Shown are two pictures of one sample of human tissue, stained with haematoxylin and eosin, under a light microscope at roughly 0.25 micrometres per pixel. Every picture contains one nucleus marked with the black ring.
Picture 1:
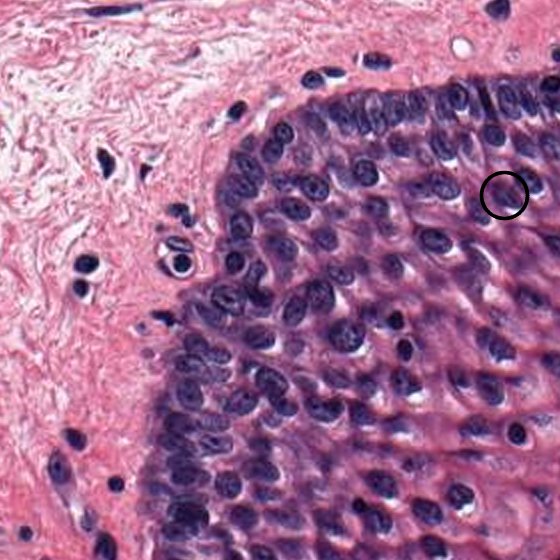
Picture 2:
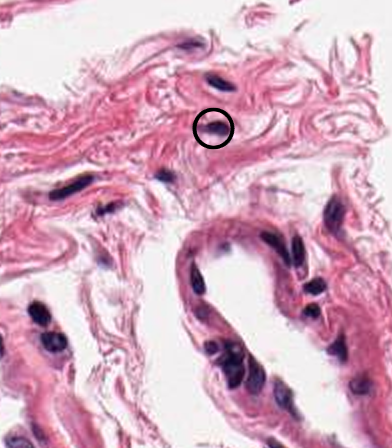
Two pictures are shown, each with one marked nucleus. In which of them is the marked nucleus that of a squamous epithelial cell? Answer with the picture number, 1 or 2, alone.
1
